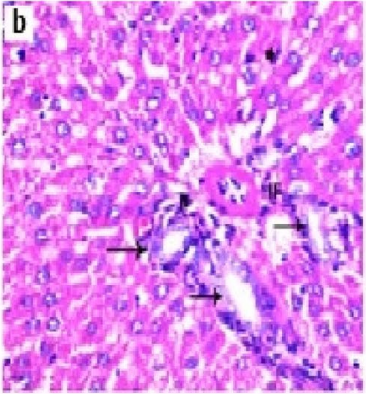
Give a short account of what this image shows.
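This is liver, with pink polygonal hepatocytes, each holding a round nucleus, arranged in cords around a portal area at the centre. The portal area holds a vessel and several small ducts lined by cuboidal cells, and it is crowded with many small, dark-blue nuclei of inflammatory cells that spread out between the neighbouring hepatocytes.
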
